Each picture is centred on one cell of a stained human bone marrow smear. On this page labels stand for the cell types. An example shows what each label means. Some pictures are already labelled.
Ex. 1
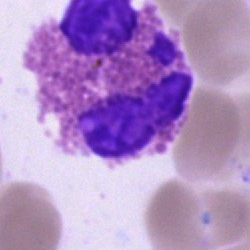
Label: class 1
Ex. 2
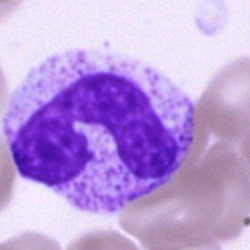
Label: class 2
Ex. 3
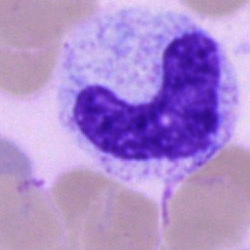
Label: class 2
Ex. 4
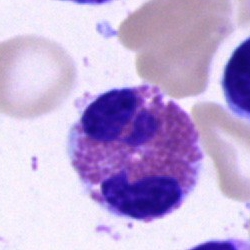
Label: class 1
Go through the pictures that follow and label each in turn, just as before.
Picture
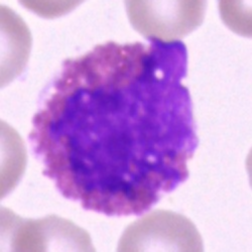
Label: class 1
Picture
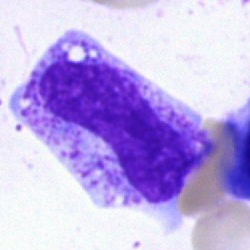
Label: class 2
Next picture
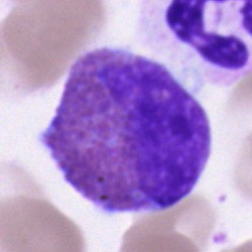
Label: class 1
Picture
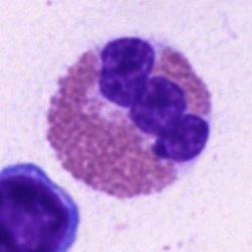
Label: class 1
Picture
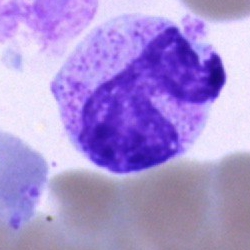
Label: class 2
